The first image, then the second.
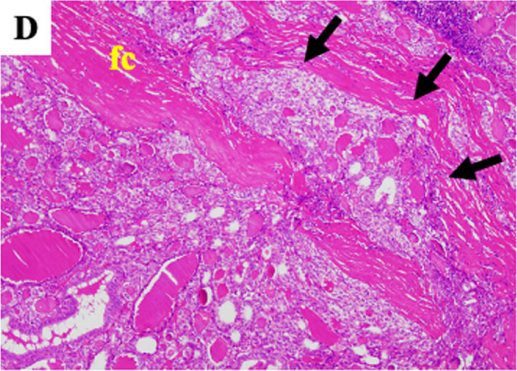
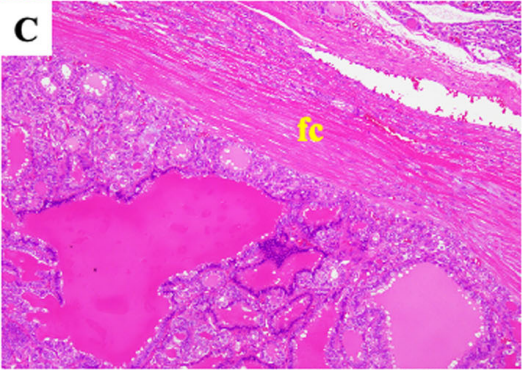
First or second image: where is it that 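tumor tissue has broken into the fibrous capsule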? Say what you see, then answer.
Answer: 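The first image. First image: clusters of tumor cells and follicles lie within the dense pink capsule band. Second image: the pink capsule band runs intact above the follicles, with no tumor within it.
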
